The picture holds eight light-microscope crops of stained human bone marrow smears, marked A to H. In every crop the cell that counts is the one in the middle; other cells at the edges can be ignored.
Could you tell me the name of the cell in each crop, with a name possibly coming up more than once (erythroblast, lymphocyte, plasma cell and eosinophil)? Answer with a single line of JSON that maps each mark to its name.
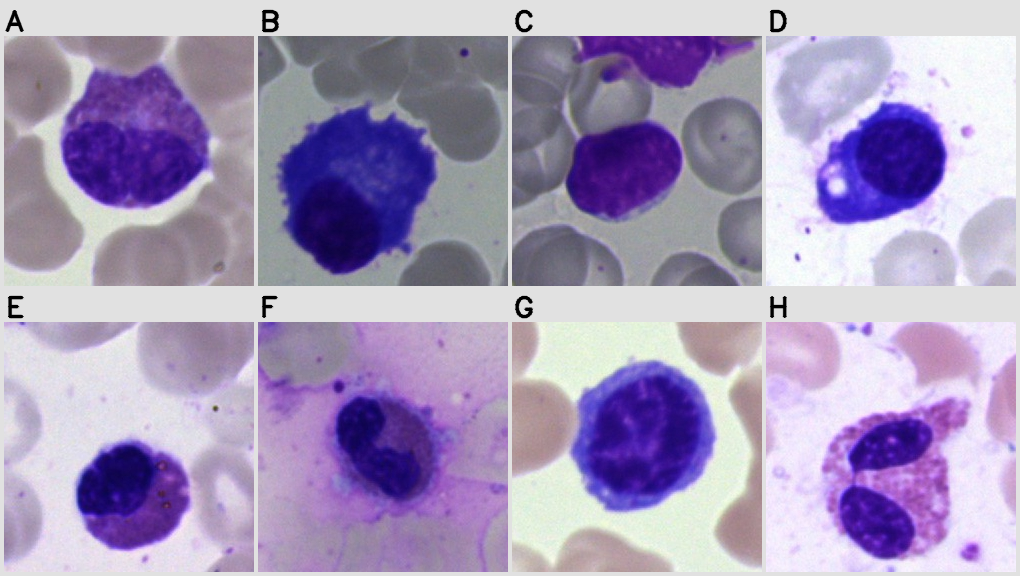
{"A": "eosinophil", "B": "plasma cell", "C": "lymphocyte", "D": "plasma cell", "E": "eosinophil", "F": "eosinophil", "G": "plasma cell", "H": "eosinophil"}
